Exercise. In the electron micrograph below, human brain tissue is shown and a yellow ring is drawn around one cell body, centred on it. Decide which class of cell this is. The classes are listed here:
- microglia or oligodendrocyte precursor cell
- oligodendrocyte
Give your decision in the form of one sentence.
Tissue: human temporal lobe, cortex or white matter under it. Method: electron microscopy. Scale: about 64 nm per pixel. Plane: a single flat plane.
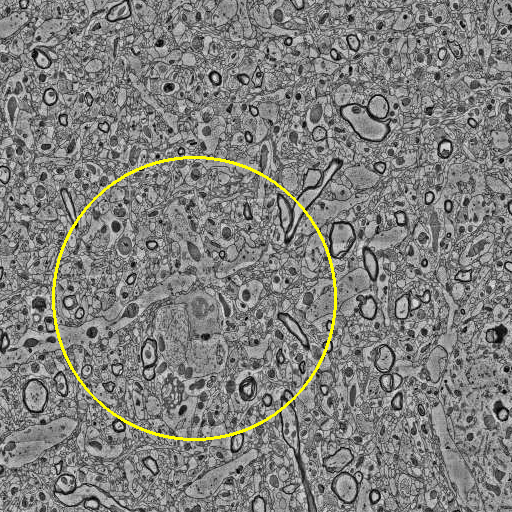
The cell body marked by the ring belongs to an oligodendrocyte.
